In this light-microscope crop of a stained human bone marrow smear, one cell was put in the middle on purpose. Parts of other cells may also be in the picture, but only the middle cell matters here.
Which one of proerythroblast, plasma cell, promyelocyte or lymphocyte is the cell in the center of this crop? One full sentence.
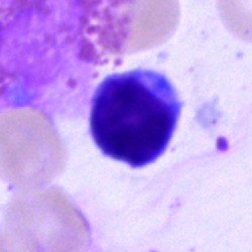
On this slide crop, the central cell is a lymphocyte.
